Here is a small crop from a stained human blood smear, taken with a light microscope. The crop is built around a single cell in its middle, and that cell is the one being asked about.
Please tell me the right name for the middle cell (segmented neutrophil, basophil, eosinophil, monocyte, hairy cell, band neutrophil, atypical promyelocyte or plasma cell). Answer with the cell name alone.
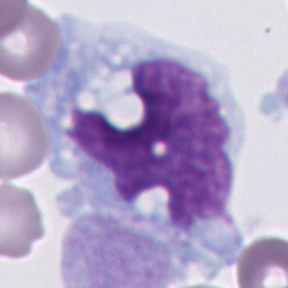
monocyte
